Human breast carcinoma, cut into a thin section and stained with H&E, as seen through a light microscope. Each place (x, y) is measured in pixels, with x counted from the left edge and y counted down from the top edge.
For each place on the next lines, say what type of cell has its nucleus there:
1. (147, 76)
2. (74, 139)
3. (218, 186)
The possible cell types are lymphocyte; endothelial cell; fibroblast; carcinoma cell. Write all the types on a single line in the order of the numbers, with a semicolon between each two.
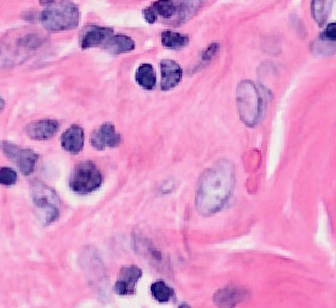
lymphocyte; lymphocyte; endothelial cell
